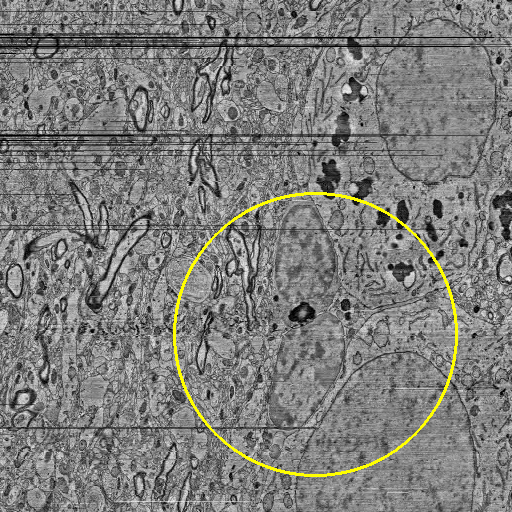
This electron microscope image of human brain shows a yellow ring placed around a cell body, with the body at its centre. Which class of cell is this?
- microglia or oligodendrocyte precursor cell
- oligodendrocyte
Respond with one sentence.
The cell body at the ring's centre is a microglial cell or oligodendrocyte precursor cell.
